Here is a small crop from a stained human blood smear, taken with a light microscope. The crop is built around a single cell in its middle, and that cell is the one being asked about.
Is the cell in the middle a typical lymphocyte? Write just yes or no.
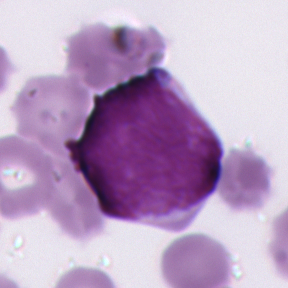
no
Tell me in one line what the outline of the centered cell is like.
Ragged or projecting, the border of this cell departs from a smooth contour.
